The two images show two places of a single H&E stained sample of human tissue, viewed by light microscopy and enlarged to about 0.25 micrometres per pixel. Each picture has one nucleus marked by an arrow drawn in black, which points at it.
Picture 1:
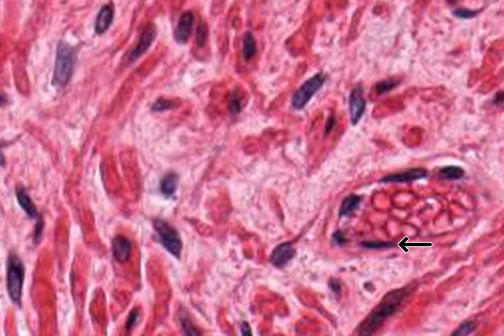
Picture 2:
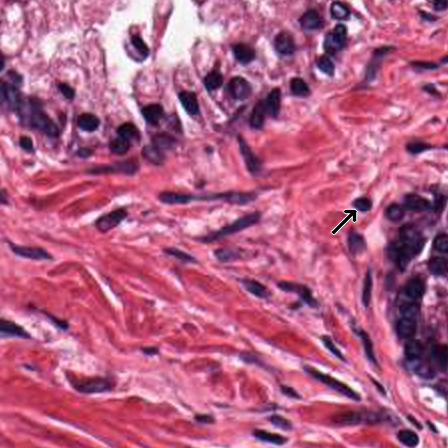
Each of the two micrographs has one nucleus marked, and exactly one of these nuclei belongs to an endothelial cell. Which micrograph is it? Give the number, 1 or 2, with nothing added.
1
